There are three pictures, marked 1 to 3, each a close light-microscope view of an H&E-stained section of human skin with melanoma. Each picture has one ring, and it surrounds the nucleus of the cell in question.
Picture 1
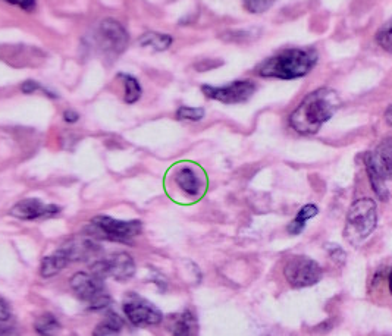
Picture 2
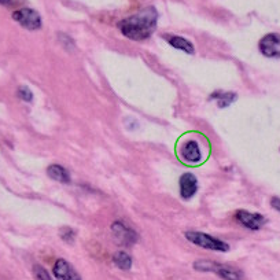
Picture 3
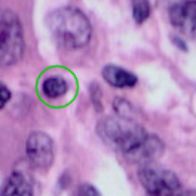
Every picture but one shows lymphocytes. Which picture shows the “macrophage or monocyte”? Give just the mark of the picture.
1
